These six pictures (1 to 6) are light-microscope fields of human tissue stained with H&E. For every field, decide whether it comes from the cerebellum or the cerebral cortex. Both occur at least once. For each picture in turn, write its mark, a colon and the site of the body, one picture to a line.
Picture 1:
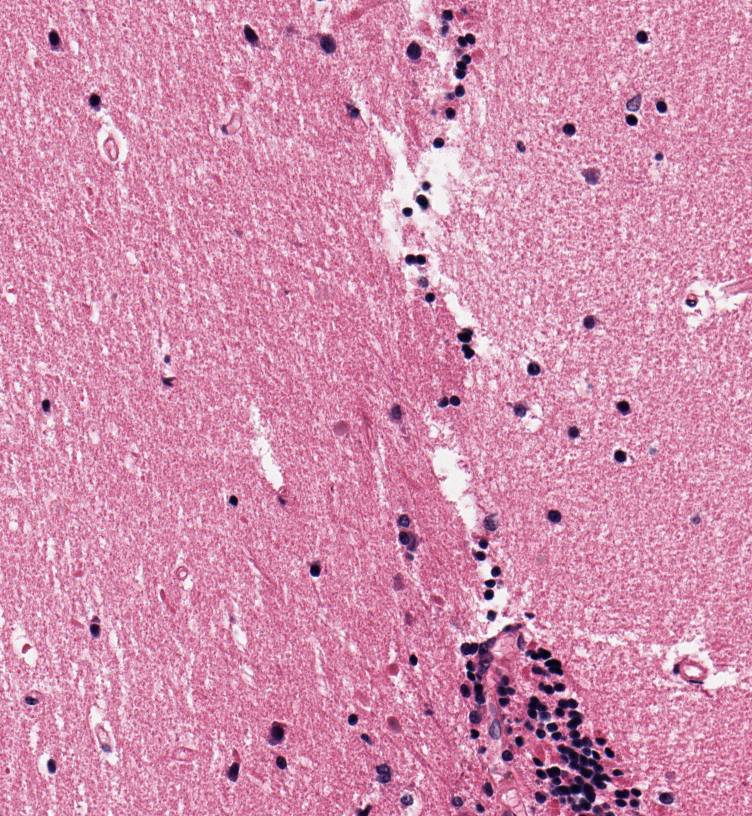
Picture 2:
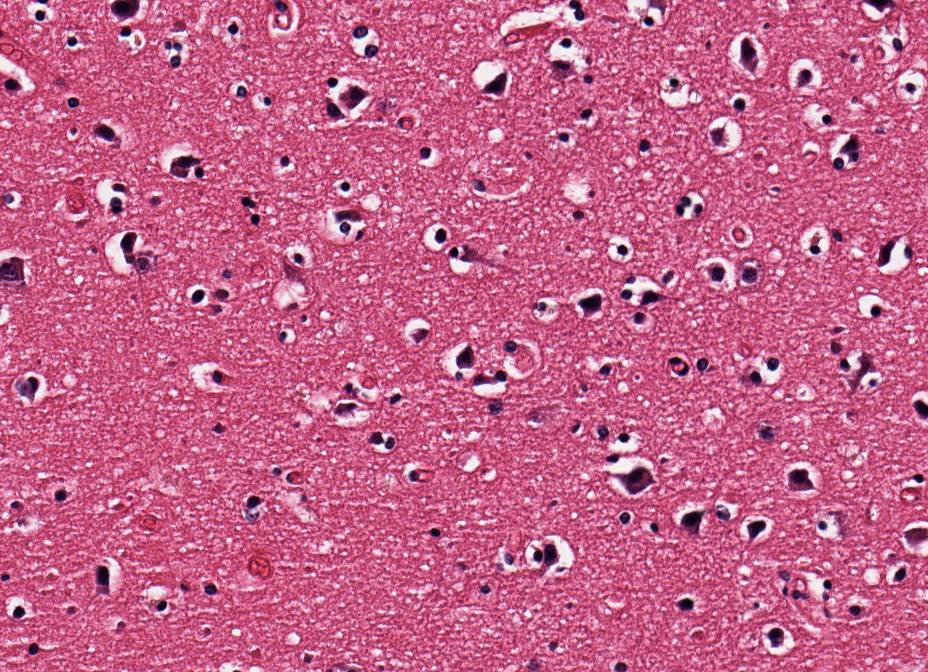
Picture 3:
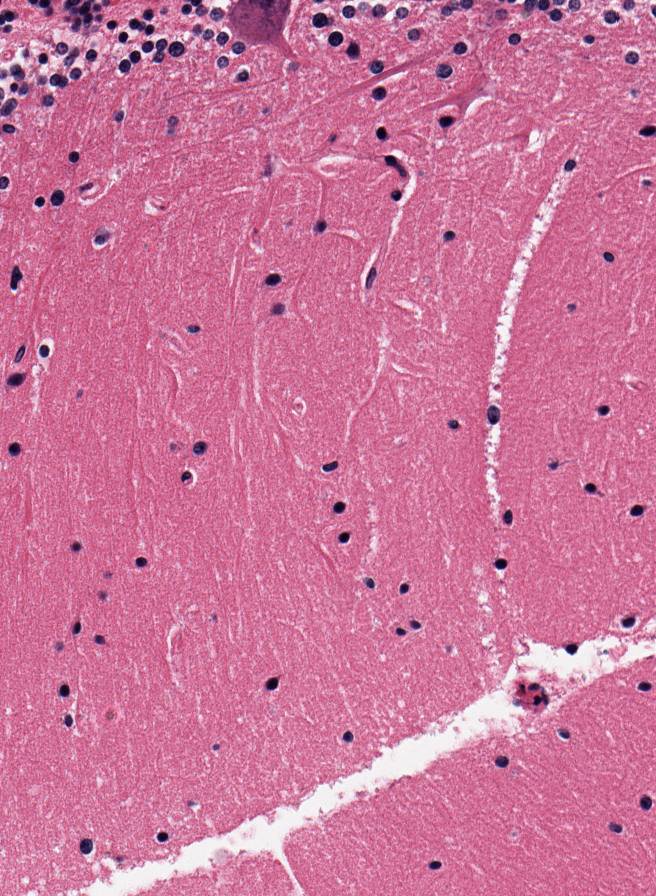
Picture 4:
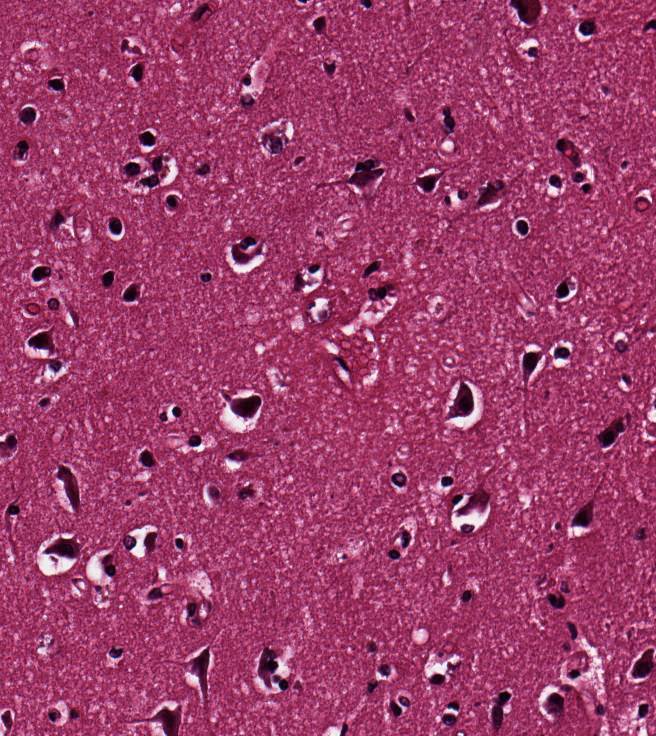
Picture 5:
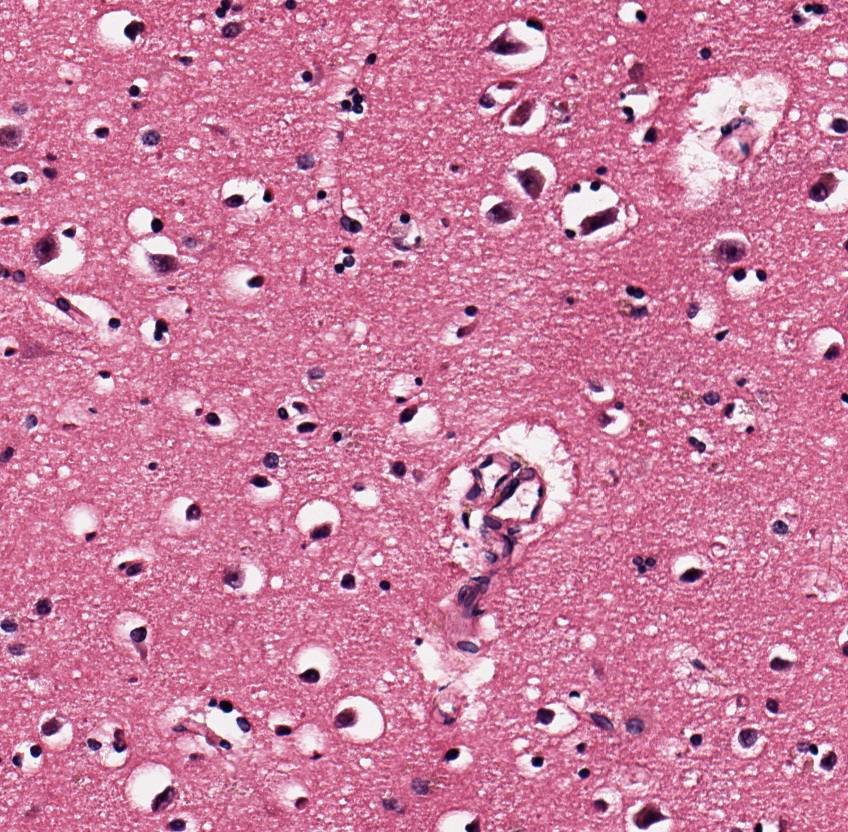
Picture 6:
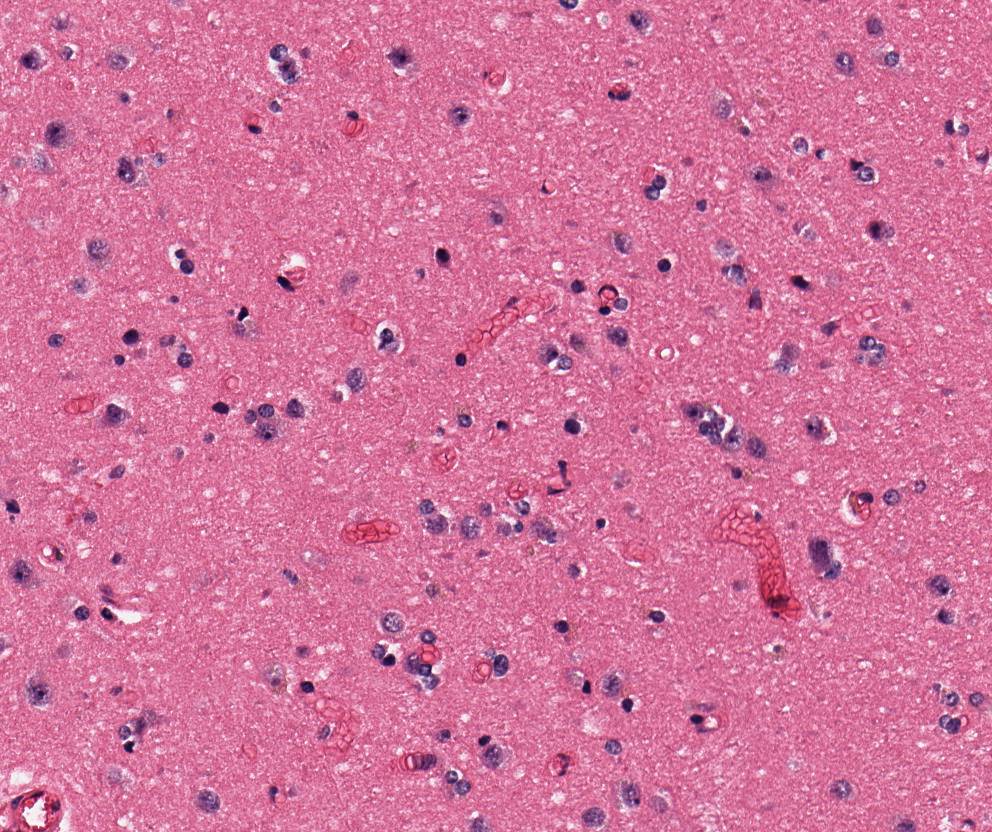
1: cerebellum
2: cerebral cortex
3: cerebellum
4: cerebral cortex
5: cerebral cortex
6: cerebral cortex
